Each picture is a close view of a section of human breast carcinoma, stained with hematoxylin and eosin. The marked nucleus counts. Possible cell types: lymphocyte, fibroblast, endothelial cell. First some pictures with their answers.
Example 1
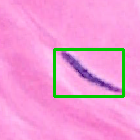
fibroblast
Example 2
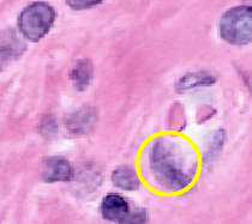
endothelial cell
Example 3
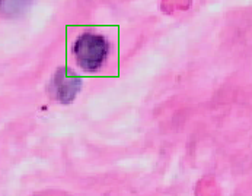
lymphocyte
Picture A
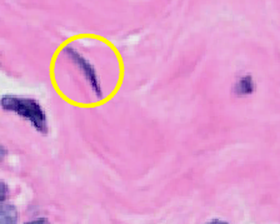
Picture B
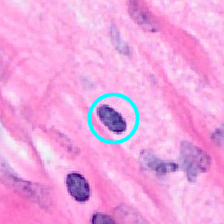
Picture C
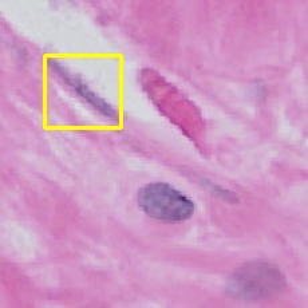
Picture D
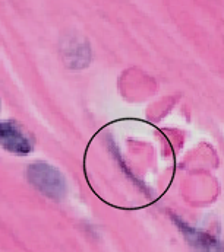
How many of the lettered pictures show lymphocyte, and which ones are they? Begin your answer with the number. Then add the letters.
1: B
